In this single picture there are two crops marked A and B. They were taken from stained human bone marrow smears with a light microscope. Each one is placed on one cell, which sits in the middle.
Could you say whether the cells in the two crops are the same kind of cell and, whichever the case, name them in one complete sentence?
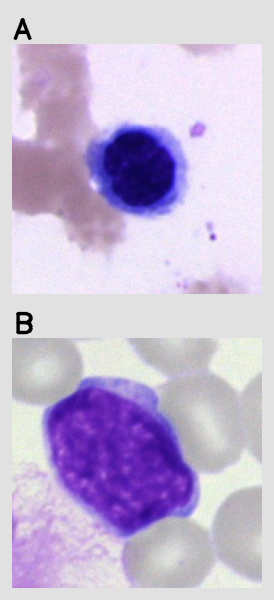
No, crop A shows a normoblast and crop B shows a blast.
